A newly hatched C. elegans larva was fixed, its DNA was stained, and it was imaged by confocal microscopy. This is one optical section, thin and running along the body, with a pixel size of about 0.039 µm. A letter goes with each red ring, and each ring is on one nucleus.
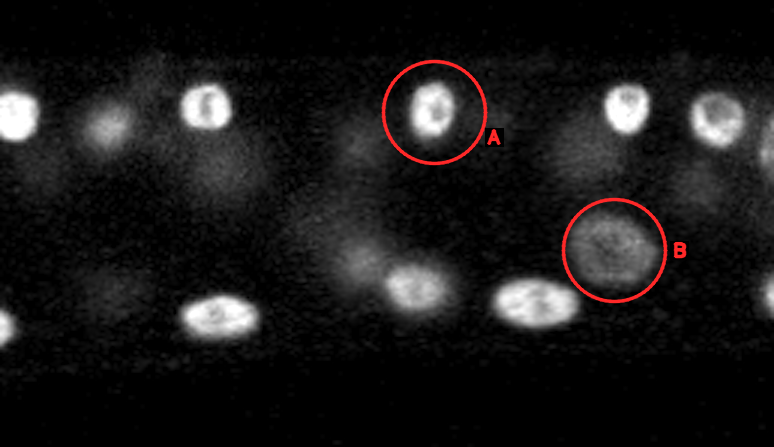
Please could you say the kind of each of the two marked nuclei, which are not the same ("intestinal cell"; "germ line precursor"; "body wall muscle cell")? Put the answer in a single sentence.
A is in a body wall muscle cell and B is in an intestinal cell.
